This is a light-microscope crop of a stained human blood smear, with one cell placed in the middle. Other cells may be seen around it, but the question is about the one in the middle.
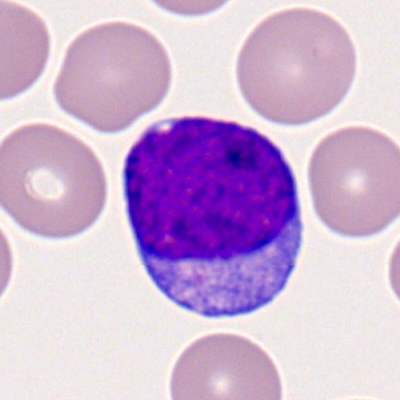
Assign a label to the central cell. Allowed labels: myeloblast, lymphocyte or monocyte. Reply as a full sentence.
The cell sitting right in the middle is a myeloblast.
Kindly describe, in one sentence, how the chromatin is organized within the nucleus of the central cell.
Just so you know, its chromatin is coarsely clumped.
